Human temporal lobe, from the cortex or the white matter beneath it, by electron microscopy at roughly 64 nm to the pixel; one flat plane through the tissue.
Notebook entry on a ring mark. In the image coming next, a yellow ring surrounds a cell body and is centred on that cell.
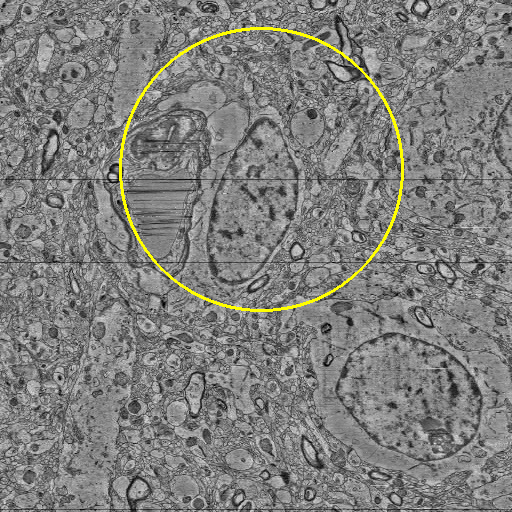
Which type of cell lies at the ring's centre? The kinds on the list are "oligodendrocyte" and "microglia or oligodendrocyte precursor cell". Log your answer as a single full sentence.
Centred in the yellow ring is a microglial cell or oligodendrocyte precursor cell, the cell recorded for this image.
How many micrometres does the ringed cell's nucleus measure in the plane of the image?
The ringed cell's nucleus is roughly 11 by 5 micrometres and clearly longer than it is wide in this plane.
